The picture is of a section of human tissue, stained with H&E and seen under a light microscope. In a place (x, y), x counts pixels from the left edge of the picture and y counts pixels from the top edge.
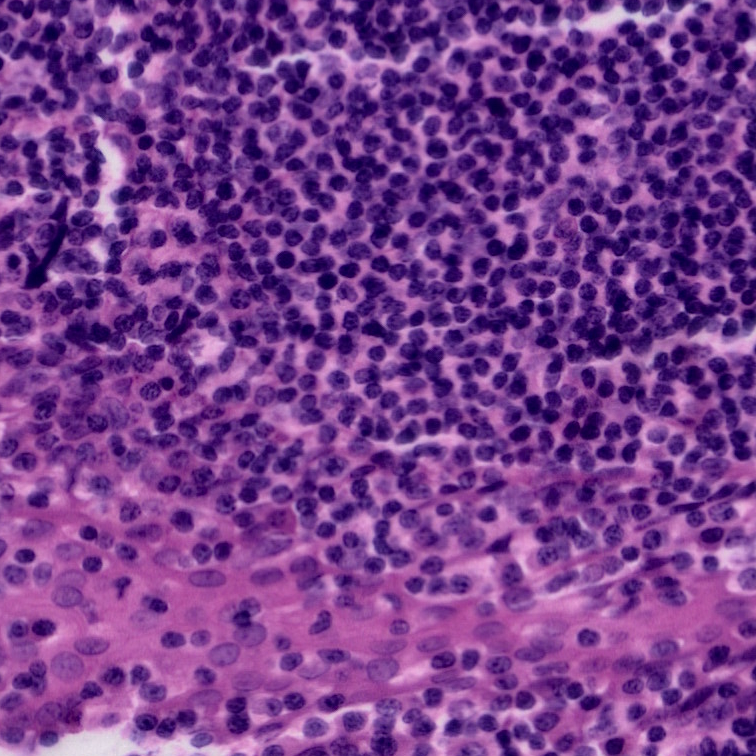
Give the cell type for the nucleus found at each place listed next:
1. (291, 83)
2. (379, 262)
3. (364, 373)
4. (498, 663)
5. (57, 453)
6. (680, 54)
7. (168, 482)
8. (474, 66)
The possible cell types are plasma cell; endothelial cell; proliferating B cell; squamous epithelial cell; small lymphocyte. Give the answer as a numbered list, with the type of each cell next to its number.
1. small lymphocyte
2. small lymphocyte
3. small lymphocyte
4. plasma cell
5. squamous epithelial cell
6. small lymphocyte
7. plasma cell
8. small lymphocyte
